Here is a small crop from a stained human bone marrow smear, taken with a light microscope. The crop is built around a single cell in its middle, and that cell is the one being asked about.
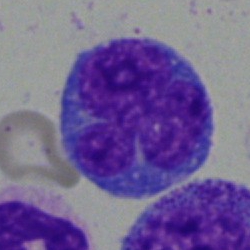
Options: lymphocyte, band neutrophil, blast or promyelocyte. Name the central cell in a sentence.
The centrally placed cell is classified as a blast.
